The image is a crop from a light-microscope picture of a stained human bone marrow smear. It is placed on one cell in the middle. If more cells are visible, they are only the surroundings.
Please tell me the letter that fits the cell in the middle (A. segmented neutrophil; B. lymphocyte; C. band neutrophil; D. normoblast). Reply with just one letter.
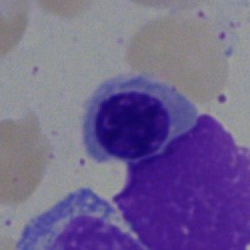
D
